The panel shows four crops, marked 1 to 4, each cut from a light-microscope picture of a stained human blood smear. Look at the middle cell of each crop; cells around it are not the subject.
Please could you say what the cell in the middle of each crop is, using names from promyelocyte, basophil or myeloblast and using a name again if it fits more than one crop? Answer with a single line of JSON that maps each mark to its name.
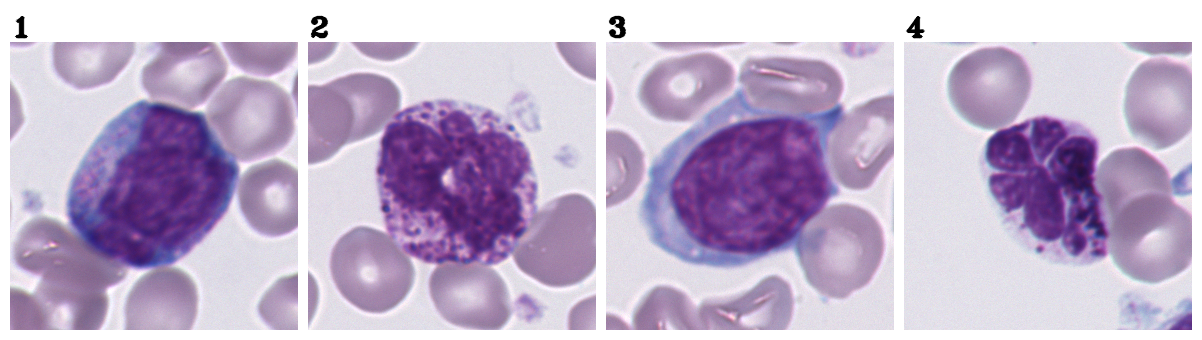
{"1": "promyelocyte", "2": "basophil", "3": "myeloblast", "4": "basophil"}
